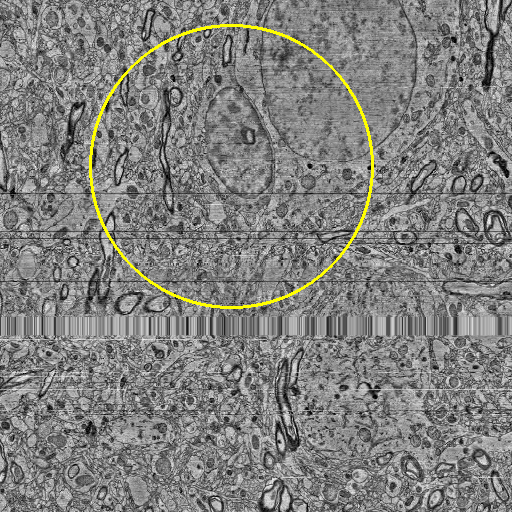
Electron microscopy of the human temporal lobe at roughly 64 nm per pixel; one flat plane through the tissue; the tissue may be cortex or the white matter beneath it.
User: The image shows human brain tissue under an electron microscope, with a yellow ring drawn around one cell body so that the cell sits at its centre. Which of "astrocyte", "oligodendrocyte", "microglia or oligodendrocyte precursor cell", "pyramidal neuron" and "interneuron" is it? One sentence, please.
At the centre of the ring sits an oligodendrocyte.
